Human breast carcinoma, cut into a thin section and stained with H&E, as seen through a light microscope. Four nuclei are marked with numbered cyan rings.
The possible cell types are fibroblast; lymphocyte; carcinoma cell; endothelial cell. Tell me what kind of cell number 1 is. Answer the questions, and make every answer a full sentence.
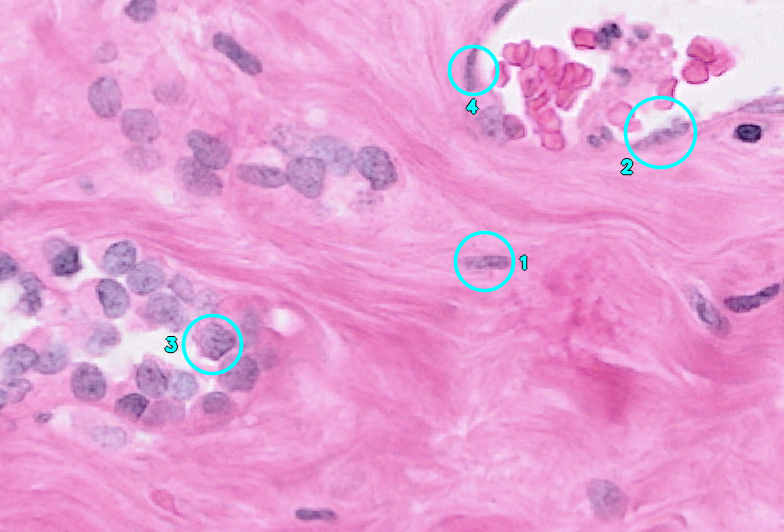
The cell marked with number 1 is a fibroblast.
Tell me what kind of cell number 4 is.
The cell numbered 4 has been identified as an endothelial cell.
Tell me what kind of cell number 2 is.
The cell bearing label 2 corresponds to an endothelial cell.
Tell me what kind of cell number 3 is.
The cell given label 3 is a carcinoma cell.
